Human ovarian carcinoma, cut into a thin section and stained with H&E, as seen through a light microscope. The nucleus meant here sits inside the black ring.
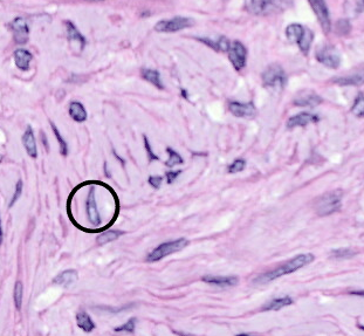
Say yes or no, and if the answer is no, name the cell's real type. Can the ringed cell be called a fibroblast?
Yes.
